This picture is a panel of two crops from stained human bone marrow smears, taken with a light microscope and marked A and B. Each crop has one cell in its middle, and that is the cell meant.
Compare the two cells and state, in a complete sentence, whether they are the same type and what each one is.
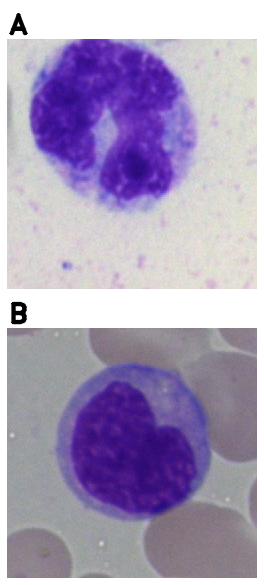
Yes, in short, both crops show monocytes.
